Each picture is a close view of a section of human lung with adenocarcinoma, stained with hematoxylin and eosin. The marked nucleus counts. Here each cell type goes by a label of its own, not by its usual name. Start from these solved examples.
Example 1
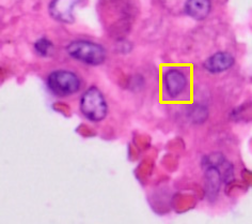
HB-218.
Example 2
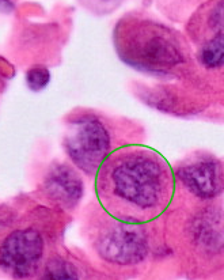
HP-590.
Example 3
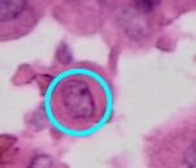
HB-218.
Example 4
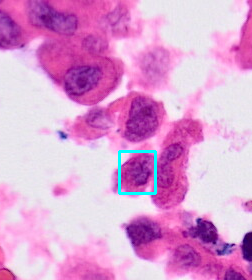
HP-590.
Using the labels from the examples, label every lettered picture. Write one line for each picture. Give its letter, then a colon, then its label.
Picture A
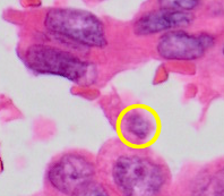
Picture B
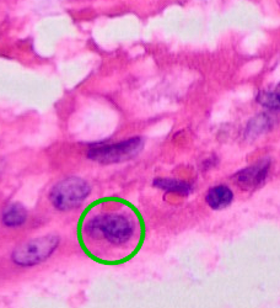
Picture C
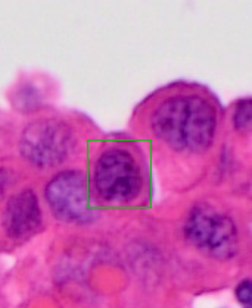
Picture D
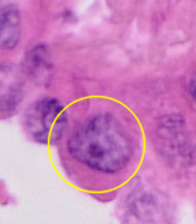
A: HB-218.
B: HB-218.
C: HP-590.
D: HP-590.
